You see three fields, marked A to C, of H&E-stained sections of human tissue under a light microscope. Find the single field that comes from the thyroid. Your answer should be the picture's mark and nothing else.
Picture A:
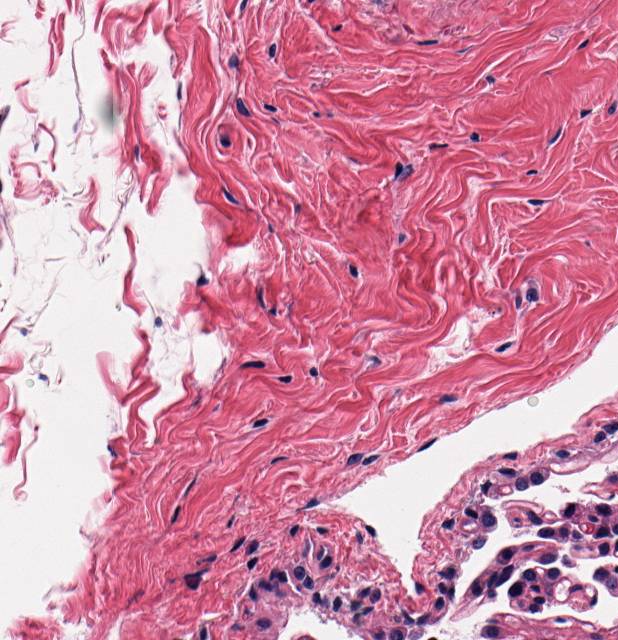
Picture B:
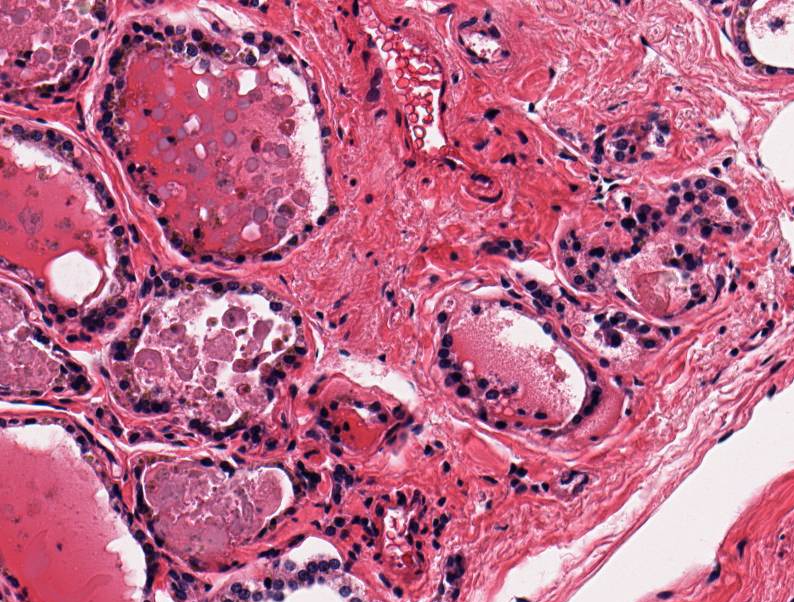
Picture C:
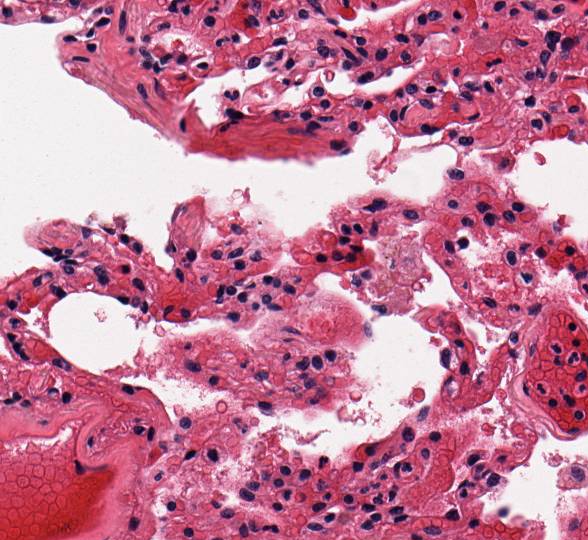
B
